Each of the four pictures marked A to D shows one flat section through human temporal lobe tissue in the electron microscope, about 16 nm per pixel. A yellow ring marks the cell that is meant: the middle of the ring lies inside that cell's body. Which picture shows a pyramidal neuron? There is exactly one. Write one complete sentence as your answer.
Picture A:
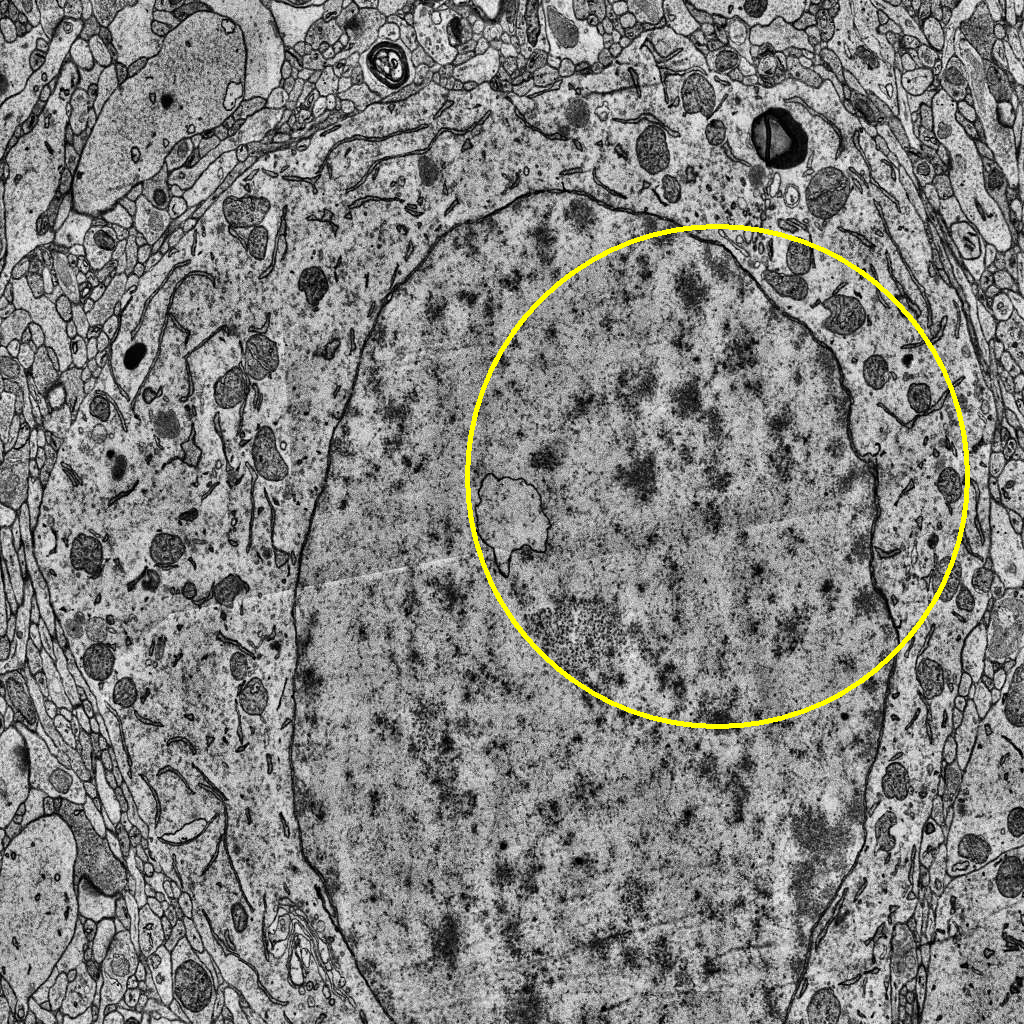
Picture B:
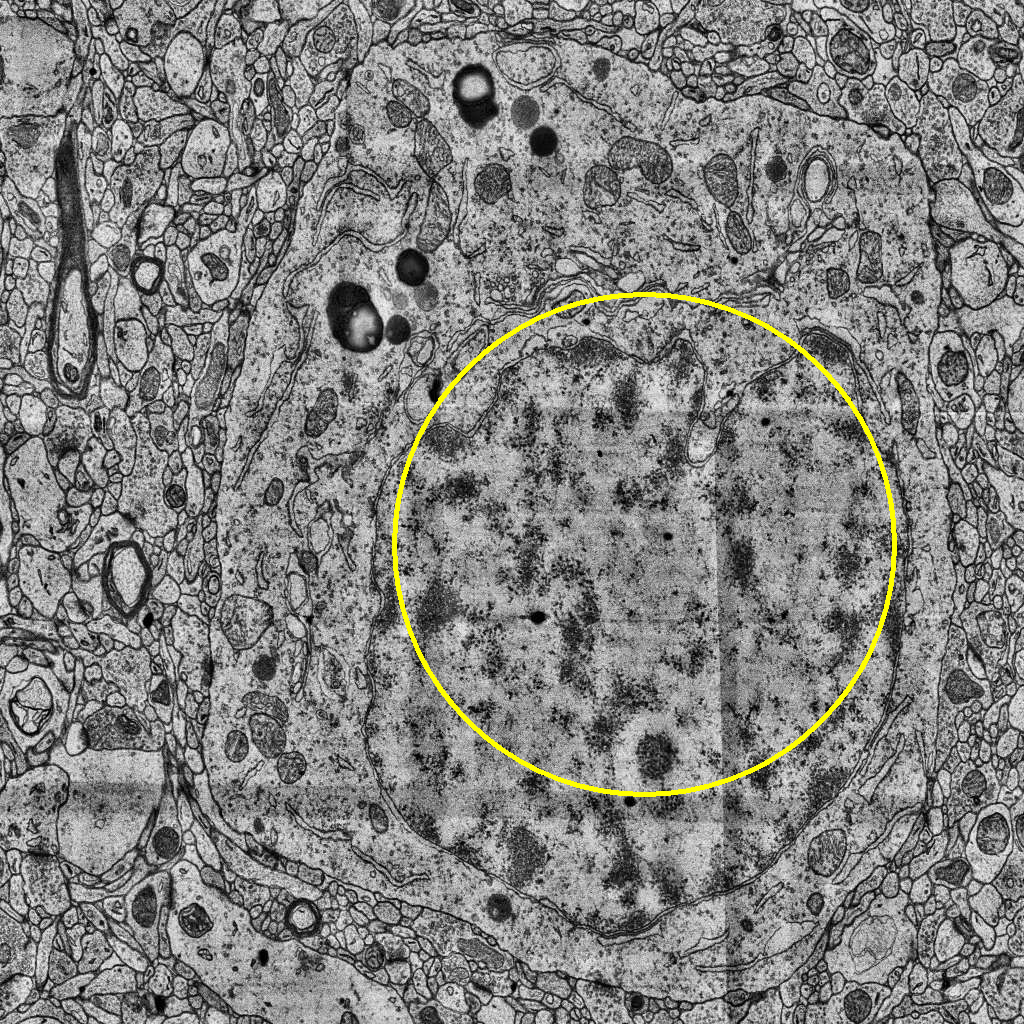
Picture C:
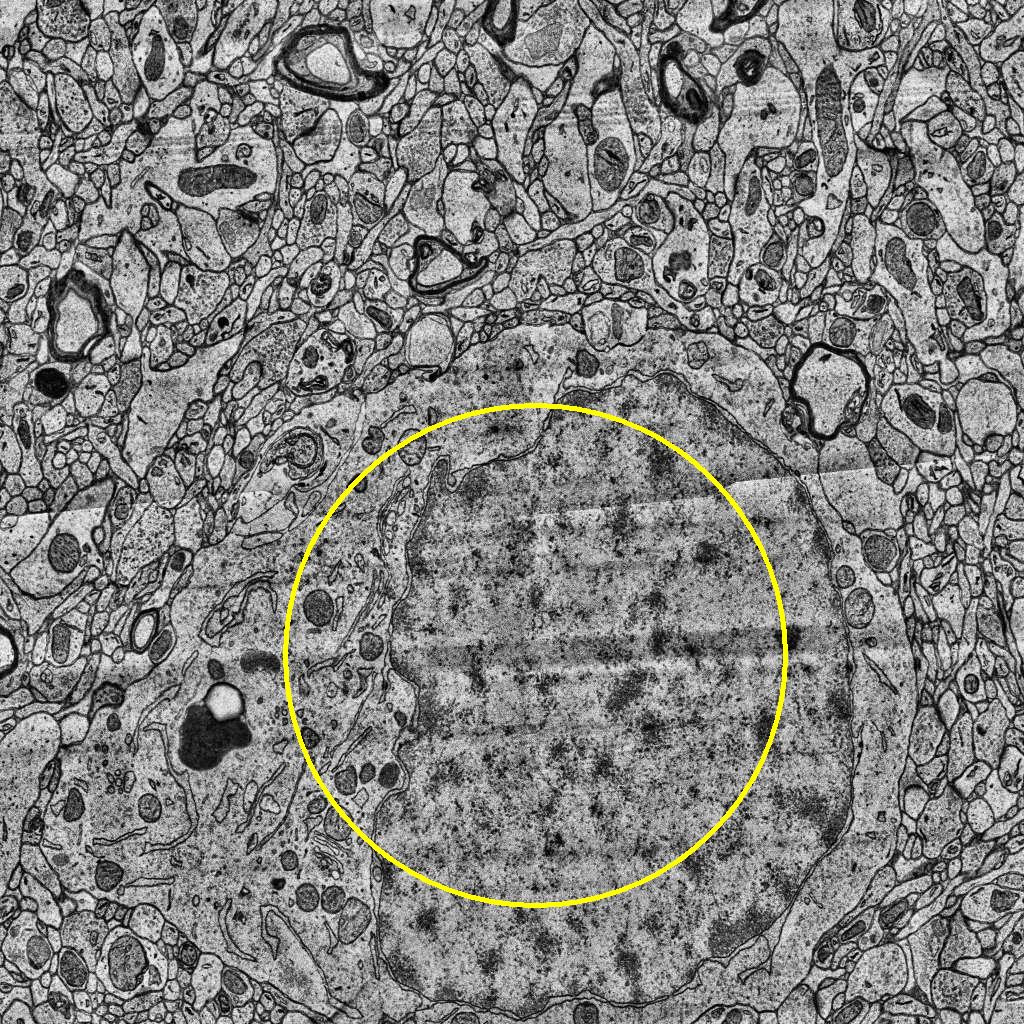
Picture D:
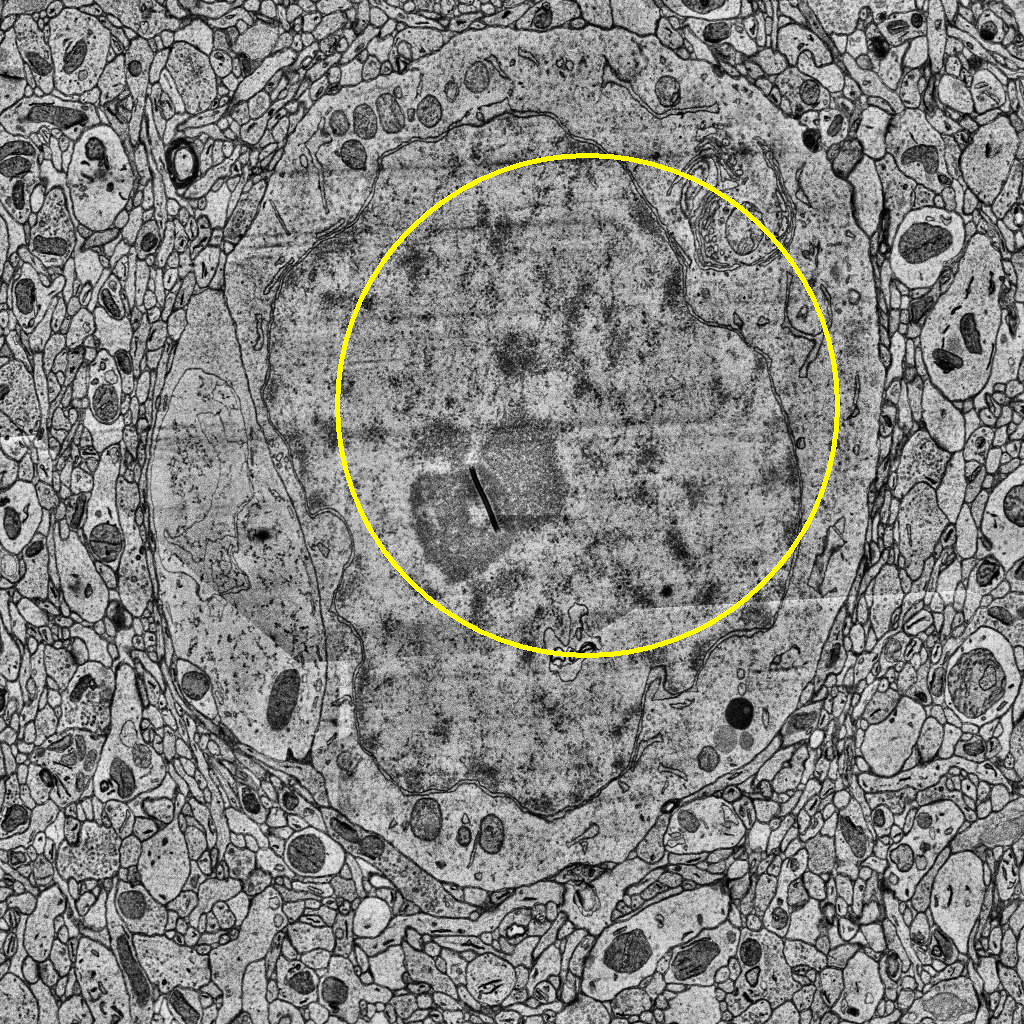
It is picture A that shows the pyramidal neuron.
